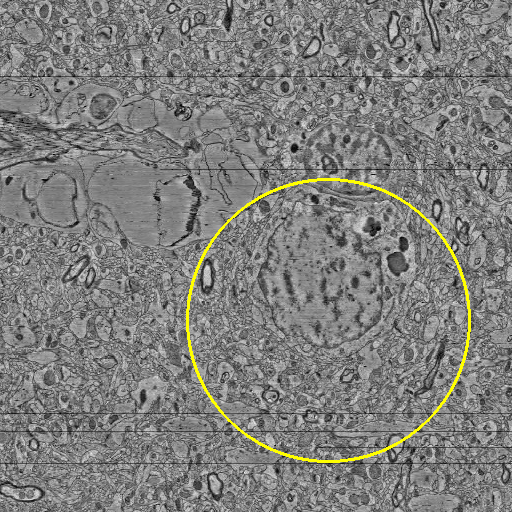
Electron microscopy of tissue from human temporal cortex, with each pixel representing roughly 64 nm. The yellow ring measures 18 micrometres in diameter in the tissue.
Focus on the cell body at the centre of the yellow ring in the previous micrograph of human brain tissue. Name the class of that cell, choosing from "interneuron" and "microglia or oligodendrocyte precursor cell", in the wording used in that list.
interneuron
